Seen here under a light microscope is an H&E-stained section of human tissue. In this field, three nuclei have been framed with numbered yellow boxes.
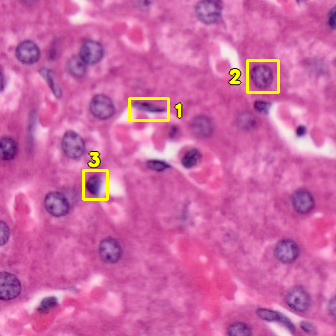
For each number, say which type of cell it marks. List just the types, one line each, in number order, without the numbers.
endothelial cell
hepatocyte
fibroblast or stellate cell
